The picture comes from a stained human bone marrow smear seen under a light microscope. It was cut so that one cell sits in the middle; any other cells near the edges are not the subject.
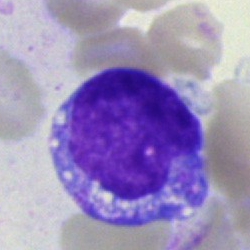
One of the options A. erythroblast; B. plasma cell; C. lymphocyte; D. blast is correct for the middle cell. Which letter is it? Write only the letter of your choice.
D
